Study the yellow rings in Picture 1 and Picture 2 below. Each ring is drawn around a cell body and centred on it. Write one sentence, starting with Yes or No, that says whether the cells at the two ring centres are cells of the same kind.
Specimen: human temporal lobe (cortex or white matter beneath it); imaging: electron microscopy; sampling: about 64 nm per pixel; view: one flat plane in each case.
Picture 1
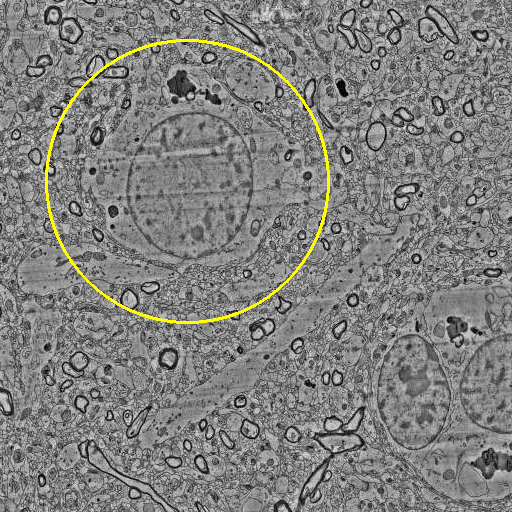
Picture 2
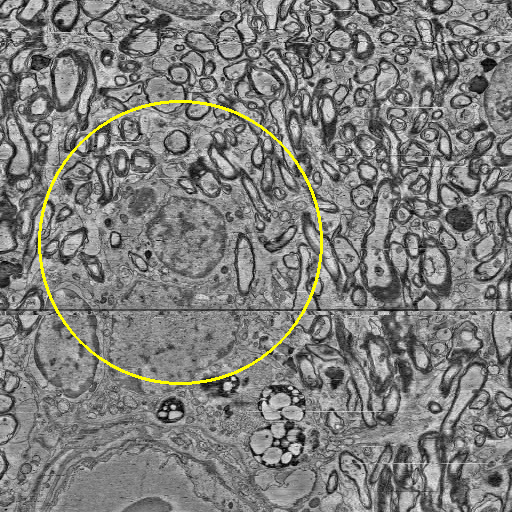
No, the cells at the ring centres are of two kinds.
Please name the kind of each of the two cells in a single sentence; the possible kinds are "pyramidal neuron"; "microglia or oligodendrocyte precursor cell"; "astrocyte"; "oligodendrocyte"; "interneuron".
In the first picture the ring is centred on an astrocyte, and in the second on an oligodendrocyte.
